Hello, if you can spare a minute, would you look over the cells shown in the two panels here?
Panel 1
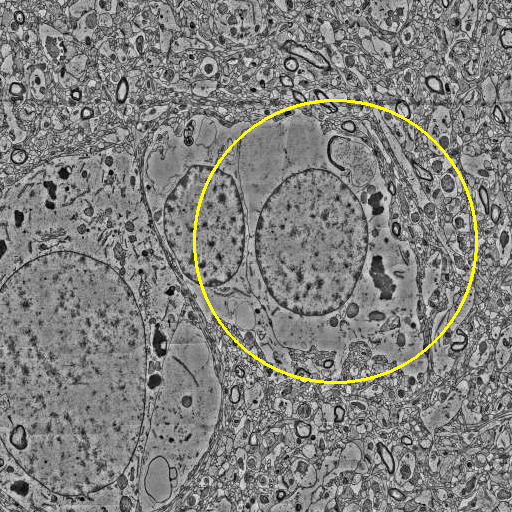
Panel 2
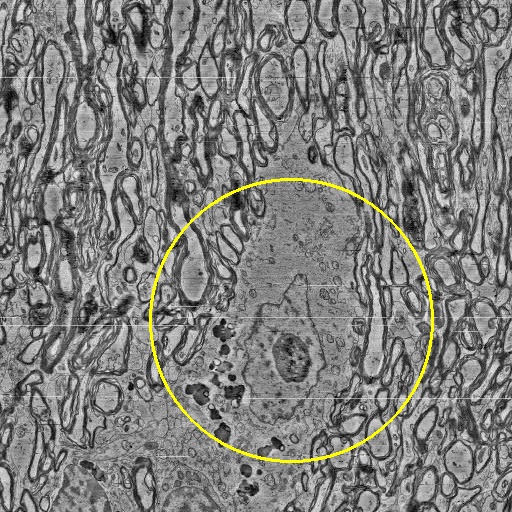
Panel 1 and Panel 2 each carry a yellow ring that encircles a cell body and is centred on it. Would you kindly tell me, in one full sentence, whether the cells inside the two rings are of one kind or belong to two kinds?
The cells at the centres of the rings in Panel 1 and Panel 2 belong to two kinds.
